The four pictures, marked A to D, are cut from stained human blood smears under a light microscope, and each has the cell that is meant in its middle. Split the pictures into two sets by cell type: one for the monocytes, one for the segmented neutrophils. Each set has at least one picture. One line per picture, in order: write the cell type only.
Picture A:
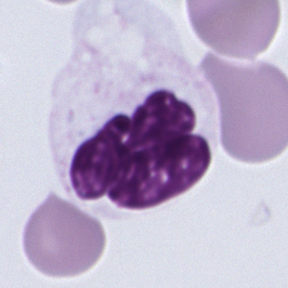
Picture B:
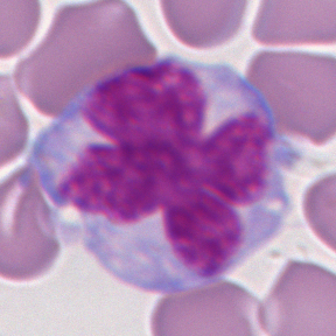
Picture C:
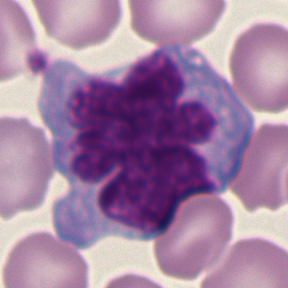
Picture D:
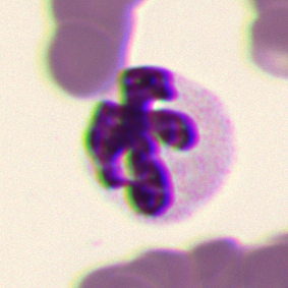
segmented neutrophil
monocyte
monocyte
segmented neutrophil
